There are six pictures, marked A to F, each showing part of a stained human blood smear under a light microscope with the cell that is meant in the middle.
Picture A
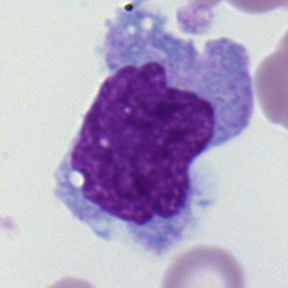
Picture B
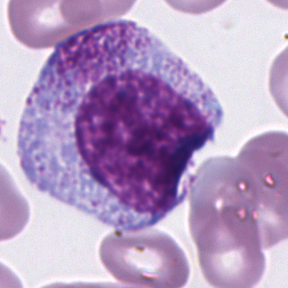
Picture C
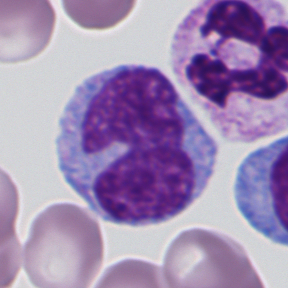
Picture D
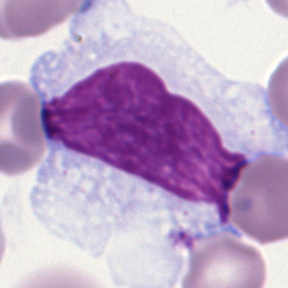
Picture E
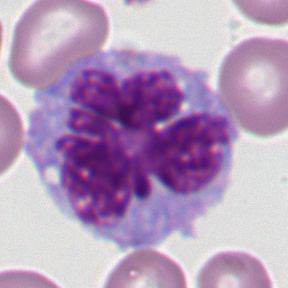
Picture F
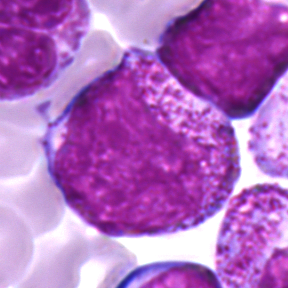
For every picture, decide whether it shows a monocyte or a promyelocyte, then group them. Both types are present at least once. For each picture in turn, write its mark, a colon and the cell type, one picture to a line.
A: monocyte
B: promyelocyte
C: monocyte
D: monocyte
E: monocyte
F: promyelocyte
